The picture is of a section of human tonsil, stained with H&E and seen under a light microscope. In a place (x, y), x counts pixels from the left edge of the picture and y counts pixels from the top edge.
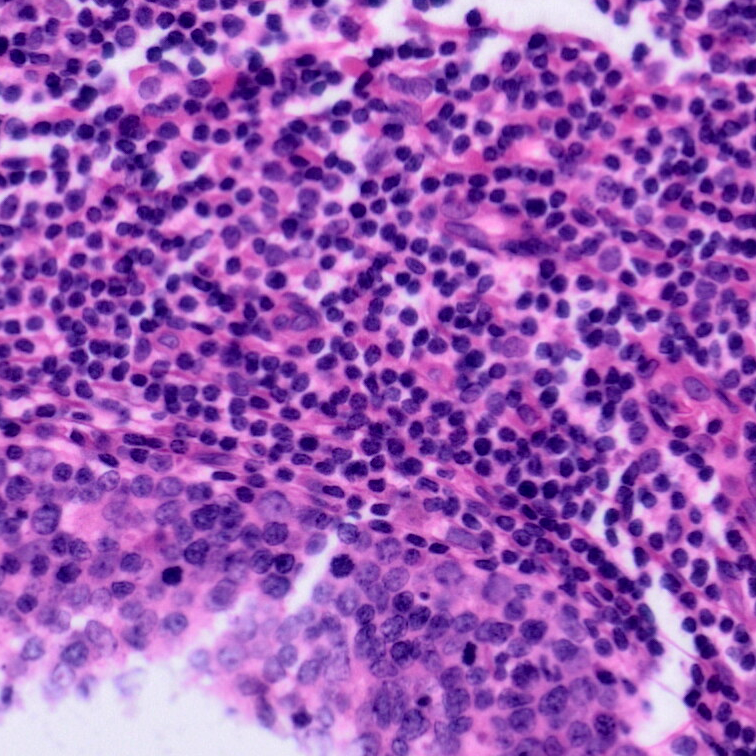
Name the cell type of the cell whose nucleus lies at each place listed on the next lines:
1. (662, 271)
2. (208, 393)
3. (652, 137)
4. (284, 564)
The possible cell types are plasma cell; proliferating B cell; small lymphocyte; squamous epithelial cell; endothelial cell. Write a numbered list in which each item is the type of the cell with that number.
1. small lymphocyte
2. small lymphocyte
3. small lymphocyte
4. proliferating B cell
